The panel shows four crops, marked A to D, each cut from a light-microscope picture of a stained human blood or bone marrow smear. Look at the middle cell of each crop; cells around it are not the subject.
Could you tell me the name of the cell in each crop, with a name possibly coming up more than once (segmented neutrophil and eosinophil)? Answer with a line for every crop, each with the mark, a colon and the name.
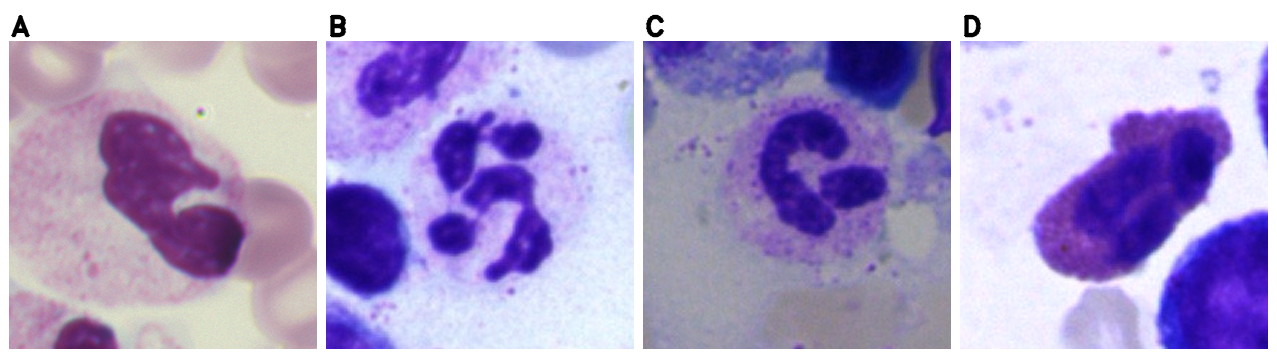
A: segmented neutrophil
B: segmented neutrophil
C: segmented neutrophil
D: eosinophil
